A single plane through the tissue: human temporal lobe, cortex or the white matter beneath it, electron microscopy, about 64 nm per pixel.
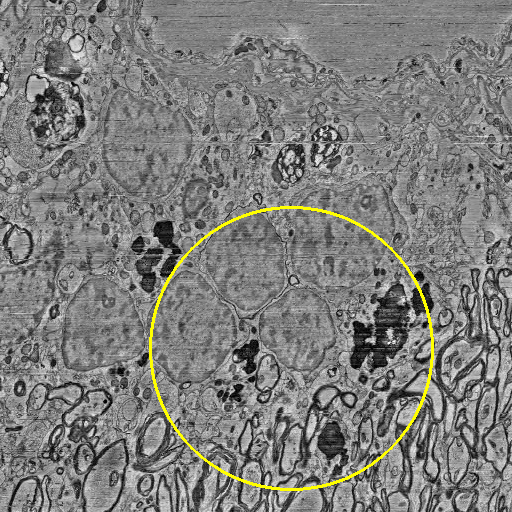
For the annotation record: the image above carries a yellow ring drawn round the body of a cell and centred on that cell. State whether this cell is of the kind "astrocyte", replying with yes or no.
No, this cell is of another kind.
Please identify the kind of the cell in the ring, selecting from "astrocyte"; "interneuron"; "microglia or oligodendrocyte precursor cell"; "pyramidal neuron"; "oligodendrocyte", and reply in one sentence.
The cell at the ring centre is an oligodendrocyte.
